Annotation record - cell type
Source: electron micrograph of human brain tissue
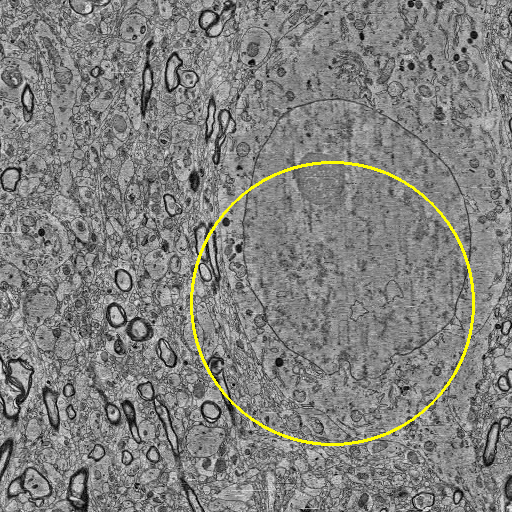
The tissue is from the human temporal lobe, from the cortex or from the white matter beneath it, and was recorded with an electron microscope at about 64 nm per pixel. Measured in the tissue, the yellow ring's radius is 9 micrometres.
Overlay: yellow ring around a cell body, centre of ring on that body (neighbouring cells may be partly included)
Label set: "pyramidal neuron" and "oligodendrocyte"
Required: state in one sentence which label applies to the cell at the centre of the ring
This cell should be labelled as a pyramidal neuron.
